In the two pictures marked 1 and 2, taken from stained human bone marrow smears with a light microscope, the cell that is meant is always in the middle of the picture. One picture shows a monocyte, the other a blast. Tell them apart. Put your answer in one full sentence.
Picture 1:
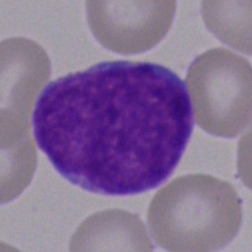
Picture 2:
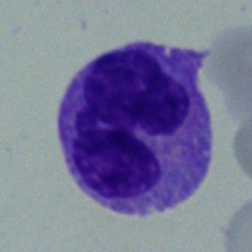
Picture 1 shows a blast and picture 2 shows a monocyte.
